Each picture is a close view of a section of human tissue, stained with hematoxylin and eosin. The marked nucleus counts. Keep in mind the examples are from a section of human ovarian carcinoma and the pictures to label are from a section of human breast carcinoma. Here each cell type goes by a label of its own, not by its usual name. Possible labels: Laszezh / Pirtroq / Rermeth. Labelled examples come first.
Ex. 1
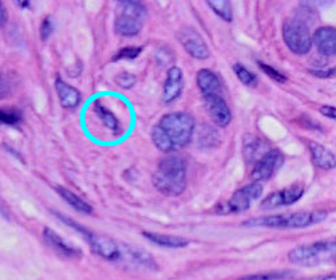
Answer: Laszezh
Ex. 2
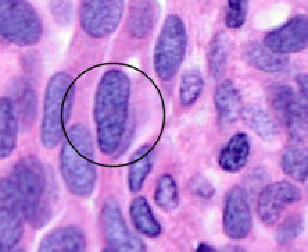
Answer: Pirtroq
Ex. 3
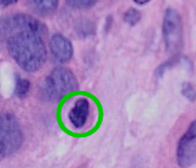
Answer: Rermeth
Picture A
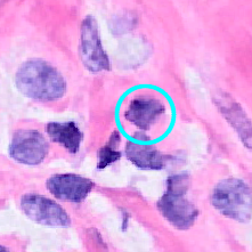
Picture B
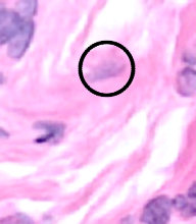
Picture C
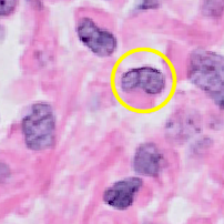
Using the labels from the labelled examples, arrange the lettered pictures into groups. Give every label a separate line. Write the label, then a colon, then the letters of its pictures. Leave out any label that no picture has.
Laszezh: B
Pirtroq: A, C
